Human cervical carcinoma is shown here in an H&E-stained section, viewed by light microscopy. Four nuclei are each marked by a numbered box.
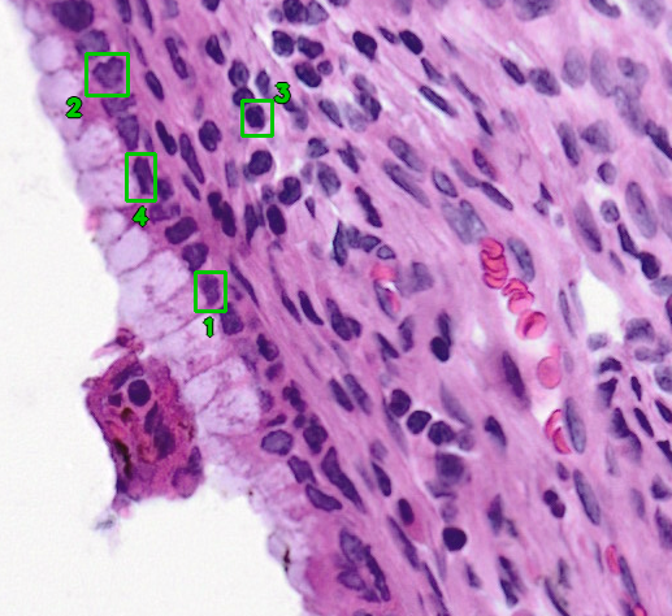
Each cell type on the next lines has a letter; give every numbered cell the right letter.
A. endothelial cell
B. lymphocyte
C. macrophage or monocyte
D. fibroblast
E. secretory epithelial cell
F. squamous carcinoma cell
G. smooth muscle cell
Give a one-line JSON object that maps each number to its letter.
{"1": "E", "2": "E", "3": "B", "4": "E"}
